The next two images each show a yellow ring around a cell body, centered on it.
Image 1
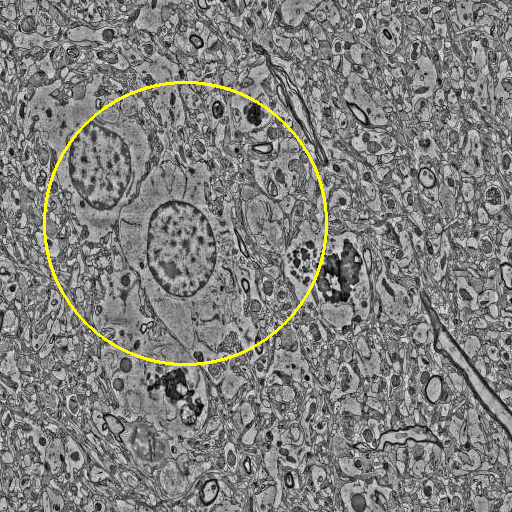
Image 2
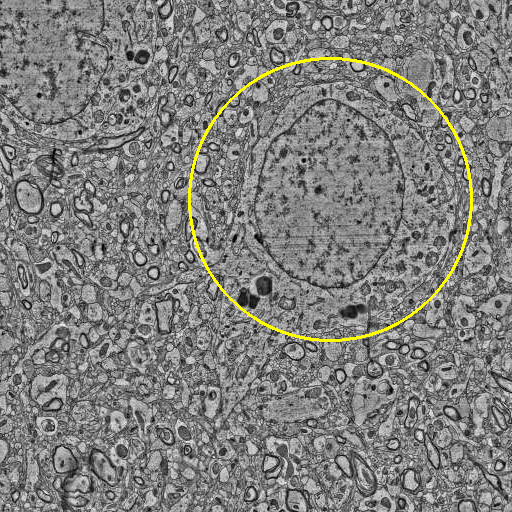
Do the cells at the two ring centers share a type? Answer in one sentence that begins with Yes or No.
No, across the two images the cells at the ring centers are of two types.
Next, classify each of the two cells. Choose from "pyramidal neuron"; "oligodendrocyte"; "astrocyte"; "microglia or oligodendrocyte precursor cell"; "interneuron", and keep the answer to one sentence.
In the first picture it is an astrocyte; in the second it is a pyramidal neuron.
